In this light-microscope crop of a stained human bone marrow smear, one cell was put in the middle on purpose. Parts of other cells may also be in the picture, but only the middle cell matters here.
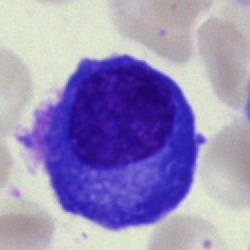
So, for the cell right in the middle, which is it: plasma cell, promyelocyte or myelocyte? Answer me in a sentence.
Framed in the middle of the crop is a plasma cell.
